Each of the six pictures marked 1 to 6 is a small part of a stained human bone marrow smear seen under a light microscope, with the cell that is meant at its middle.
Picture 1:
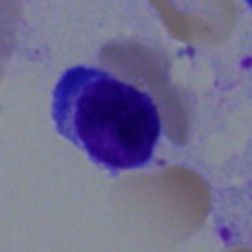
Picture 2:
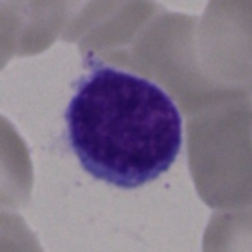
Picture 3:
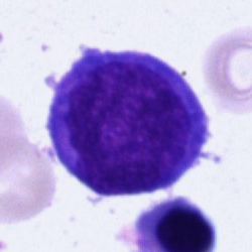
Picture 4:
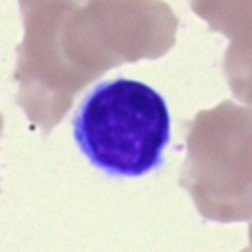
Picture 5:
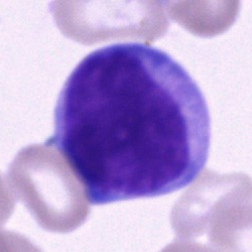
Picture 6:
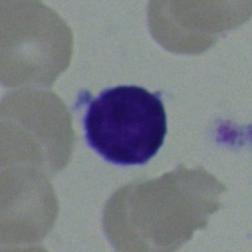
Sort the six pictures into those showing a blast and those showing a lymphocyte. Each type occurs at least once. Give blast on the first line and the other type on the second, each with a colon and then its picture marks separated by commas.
blast: 3, 5
lymphocyte: 1, 2, 4, 6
